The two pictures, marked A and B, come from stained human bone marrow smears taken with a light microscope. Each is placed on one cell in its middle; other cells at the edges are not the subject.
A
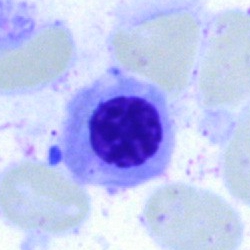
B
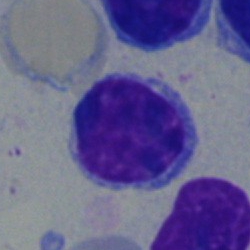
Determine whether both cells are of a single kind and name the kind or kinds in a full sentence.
No, on this set crop A shows an erythroblast and crop B shows a lymphocyte.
